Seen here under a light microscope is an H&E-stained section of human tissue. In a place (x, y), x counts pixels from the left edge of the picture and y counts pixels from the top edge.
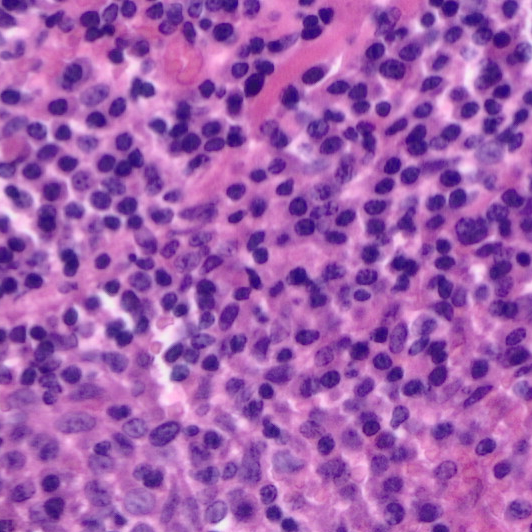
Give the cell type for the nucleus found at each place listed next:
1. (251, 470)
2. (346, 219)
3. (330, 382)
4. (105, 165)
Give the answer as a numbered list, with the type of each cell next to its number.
1. squamous epithelial cell
2. plasma cell
3. plasma cell
4. plasma cell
